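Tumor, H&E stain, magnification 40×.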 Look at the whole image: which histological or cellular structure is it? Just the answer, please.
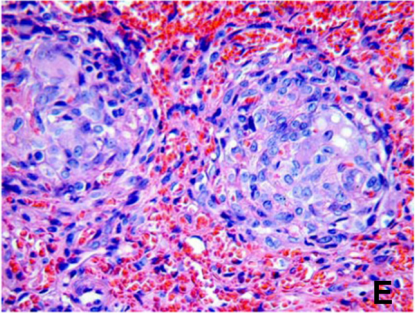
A: non-necrotizing-like granulomas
